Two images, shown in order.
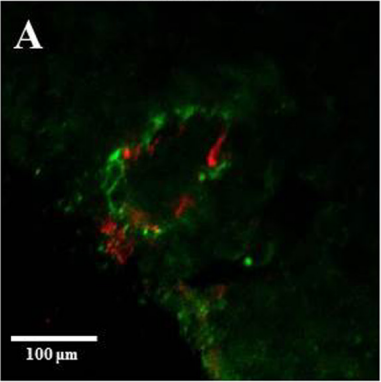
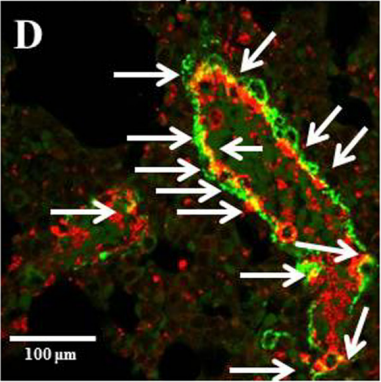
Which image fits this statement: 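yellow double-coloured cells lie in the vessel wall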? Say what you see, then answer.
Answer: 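Second image: many yellow spots along the vessel wall where red and green overlap. First image: red and green patches around the vessel stay separate, without clear yellow.
Hence: the second image.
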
